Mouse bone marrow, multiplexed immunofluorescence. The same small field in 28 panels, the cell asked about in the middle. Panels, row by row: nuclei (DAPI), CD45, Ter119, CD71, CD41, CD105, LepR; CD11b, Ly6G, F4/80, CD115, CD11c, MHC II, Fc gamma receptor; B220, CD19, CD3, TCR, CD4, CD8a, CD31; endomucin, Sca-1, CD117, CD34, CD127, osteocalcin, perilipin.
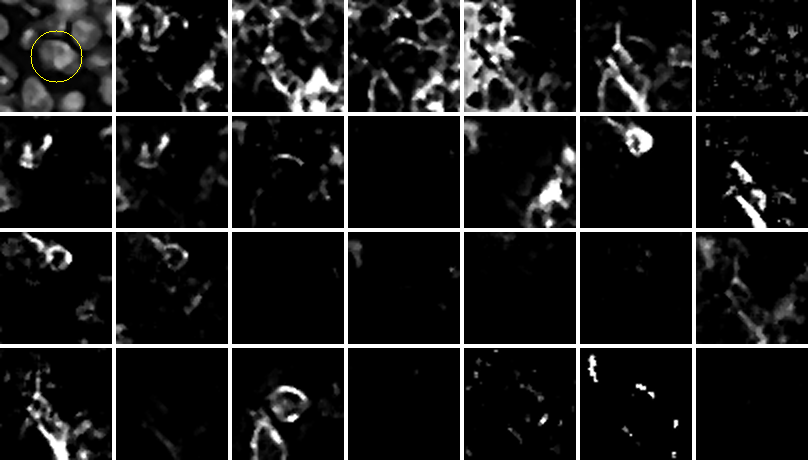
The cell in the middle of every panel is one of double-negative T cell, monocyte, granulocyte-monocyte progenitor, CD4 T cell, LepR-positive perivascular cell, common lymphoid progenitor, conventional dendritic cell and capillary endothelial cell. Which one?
granulocyte-monocyte progenitor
